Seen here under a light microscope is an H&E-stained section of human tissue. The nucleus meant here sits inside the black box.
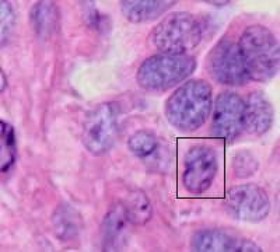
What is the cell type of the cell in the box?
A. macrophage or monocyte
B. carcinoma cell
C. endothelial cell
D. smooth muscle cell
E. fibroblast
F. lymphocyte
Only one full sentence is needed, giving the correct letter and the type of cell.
Option A is the correct one, since the cell in the box is a macrophage or monocyte.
